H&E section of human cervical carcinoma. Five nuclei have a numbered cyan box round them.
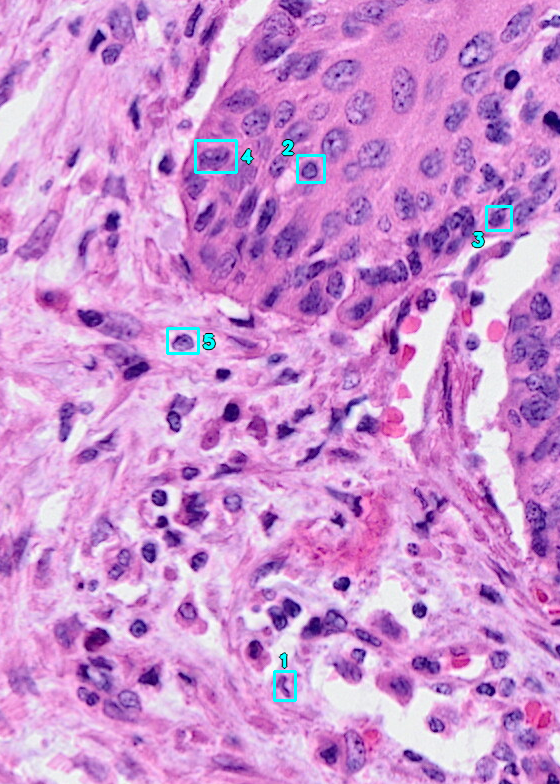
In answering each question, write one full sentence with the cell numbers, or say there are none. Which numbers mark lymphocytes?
The numbered cells include exactly one that is a lymphocyte, which is cell 5.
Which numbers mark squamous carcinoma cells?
The cells with numbers 2, 3 and 4 are squamous carcinoma cells by type.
